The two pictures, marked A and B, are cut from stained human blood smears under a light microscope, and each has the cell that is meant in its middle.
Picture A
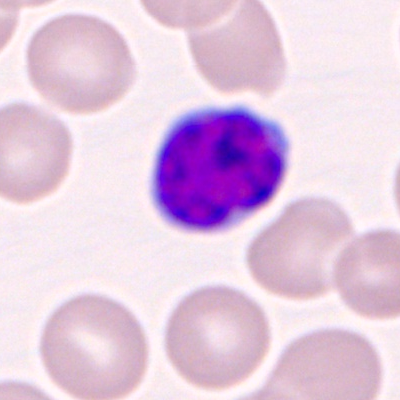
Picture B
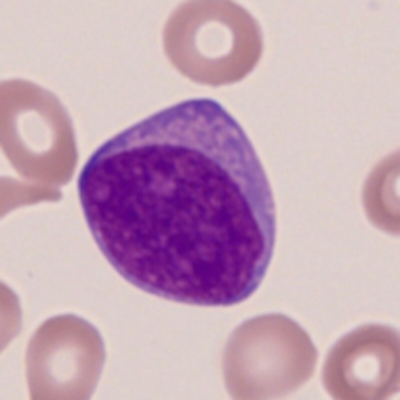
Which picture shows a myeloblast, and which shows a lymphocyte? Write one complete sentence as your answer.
Picture B shows a myeloblast, while picture A shows a lymphocyte.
